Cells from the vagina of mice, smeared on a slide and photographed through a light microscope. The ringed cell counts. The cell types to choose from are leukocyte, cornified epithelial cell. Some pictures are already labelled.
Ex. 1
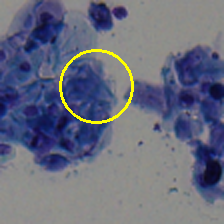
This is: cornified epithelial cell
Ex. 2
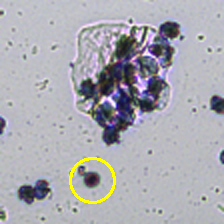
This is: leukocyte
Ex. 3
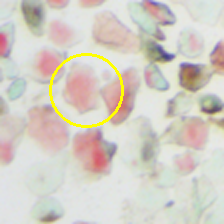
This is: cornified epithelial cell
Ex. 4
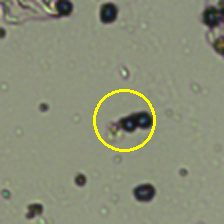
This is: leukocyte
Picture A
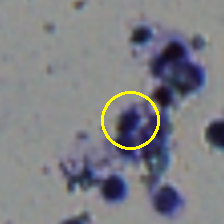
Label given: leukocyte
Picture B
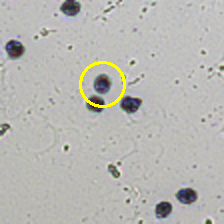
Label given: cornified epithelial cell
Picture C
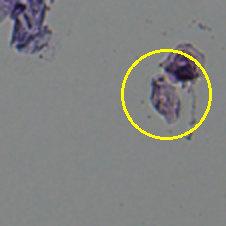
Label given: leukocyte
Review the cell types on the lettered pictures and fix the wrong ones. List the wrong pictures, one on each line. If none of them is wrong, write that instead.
B: change cornified epithelial cell to leukocyte
C: change leukocyte to cornified epithelial cell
